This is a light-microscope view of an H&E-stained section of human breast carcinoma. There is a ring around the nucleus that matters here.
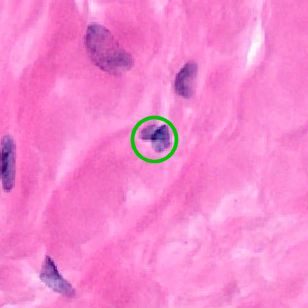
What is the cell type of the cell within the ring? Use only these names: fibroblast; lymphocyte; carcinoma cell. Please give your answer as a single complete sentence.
In the stained section, the cell within the ring is a lymphocyte.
